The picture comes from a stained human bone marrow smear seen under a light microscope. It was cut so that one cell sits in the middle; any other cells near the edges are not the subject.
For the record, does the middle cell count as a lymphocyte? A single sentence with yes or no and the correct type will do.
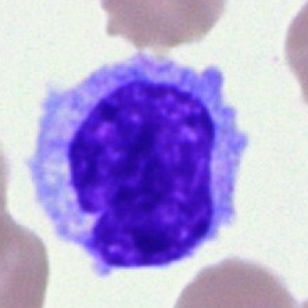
No, at the middle of the crop is a monocyte, not a lymphocyte.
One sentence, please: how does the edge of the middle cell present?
No smooth contour is present; the border is ragged or extended into projections.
